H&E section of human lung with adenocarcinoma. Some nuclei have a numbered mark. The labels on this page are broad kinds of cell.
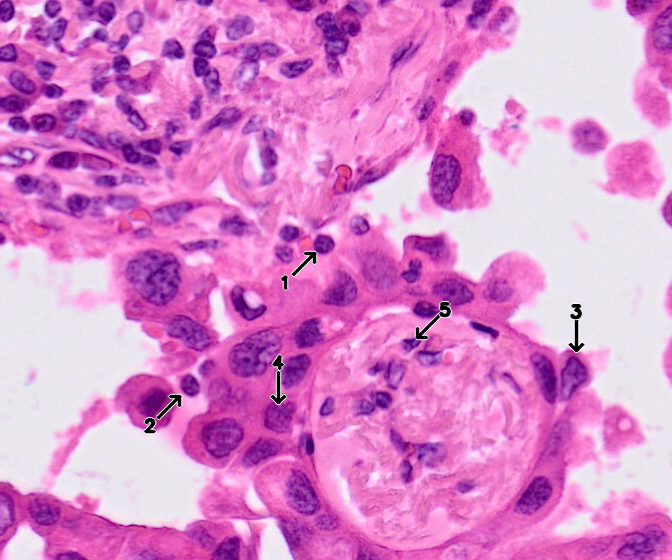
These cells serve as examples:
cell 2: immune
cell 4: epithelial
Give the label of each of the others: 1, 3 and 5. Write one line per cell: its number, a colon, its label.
1: immune
3: epithelial
5: immune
